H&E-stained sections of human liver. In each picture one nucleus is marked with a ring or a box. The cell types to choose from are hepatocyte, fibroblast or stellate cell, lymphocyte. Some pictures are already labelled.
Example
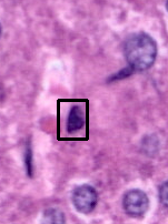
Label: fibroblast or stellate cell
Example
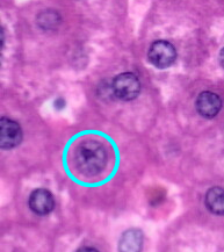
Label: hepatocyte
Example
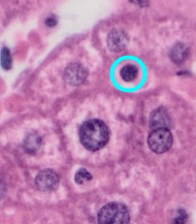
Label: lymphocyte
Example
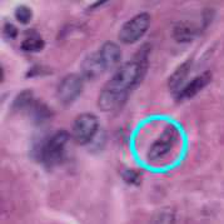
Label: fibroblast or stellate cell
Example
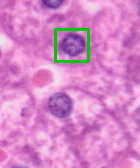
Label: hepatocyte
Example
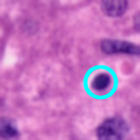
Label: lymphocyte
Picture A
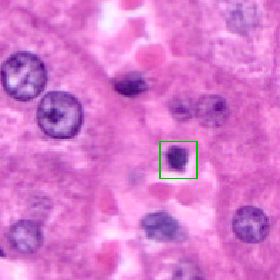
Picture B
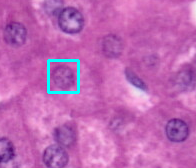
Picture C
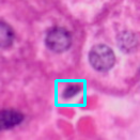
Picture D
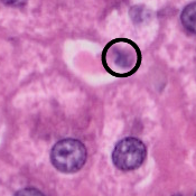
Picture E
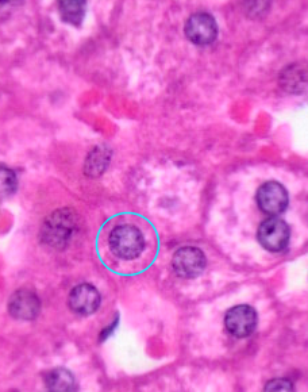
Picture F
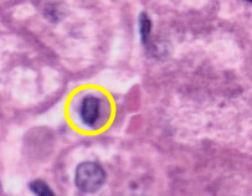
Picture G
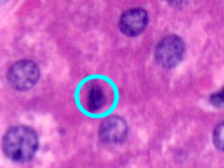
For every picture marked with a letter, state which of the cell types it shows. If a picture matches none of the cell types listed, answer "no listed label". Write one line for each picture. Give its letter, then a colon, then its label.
A: lymphocyte
B: hepatocyte
C: lymphocyte
D: no listed label
E: hepatocyte
F: no listed label
G: fibroblast or stellate cell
